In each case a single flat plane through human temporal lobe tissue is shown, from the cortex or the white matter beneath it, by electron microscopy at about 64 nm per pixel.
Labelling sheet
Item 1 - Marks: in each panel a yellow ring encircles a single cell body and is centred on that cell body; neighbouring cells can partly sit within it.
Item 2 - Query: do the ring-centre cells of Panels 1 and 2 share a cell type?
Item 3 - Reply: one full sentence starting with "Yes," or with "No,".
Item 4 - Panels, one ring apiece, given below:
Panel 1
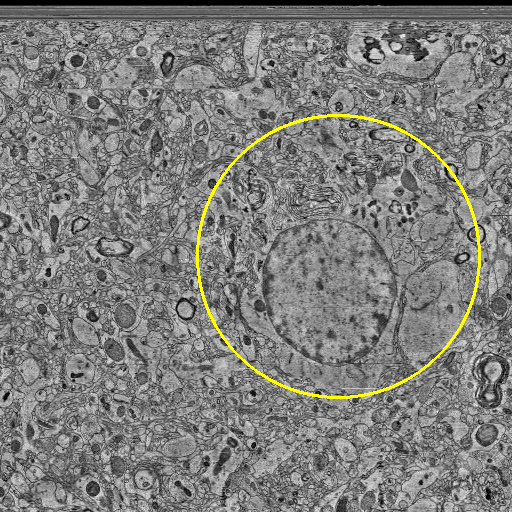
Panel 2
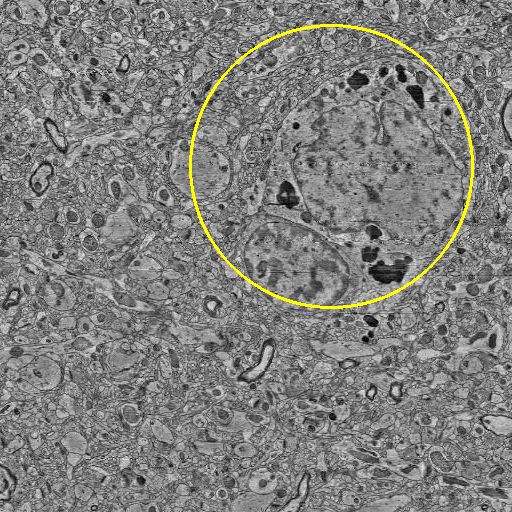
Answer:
No, Panel 1 and Panel 2 show two cell types at the centres of their rings.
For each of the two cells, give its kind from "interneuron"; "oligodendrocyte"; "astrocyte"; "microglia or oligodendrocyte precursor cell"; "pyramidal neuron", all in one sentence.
The first picture has an astrocyte in its ring, the second has an interneuron.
